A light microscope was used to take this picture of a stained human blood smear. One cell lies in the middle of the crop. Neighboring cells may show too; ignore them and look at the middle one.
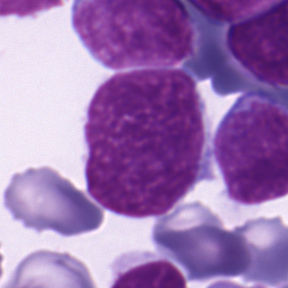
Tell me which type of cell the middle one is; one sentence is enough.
By type, the central cell of the crop is a myeloblast.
